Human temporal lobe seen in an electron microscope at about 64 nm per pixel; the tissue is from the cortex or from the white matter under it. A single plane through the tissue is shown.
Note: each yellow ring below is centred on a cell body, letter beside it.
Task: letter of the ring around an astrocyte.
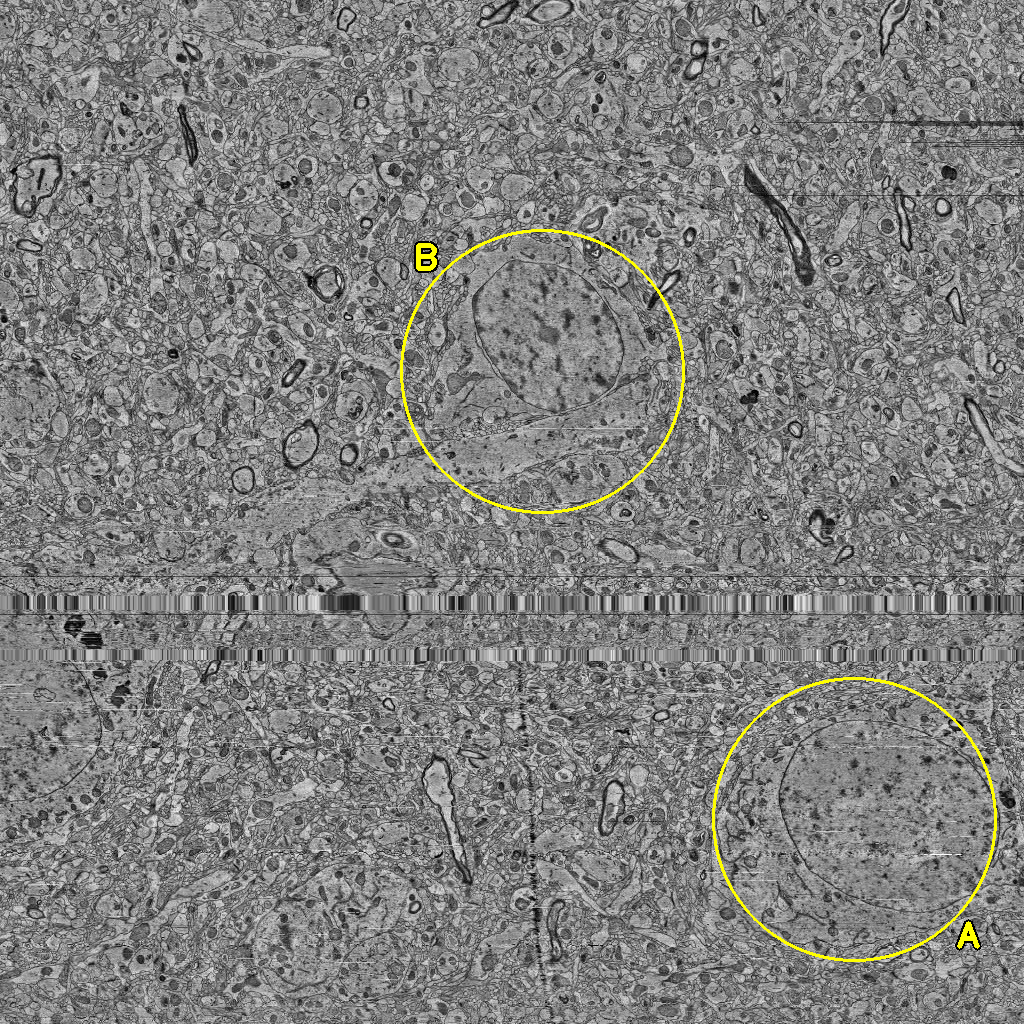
B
